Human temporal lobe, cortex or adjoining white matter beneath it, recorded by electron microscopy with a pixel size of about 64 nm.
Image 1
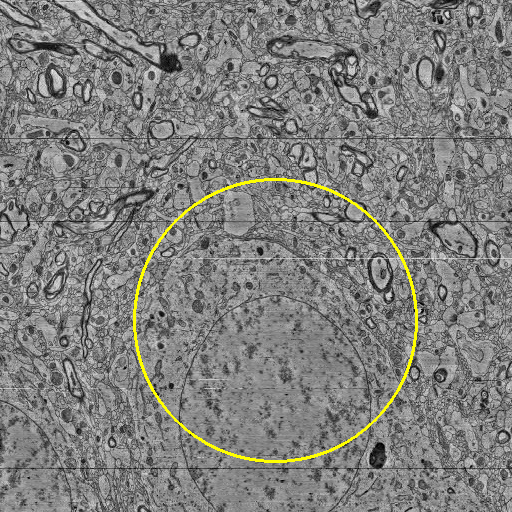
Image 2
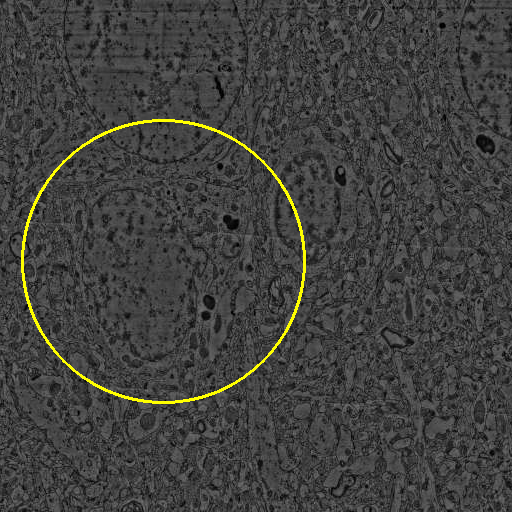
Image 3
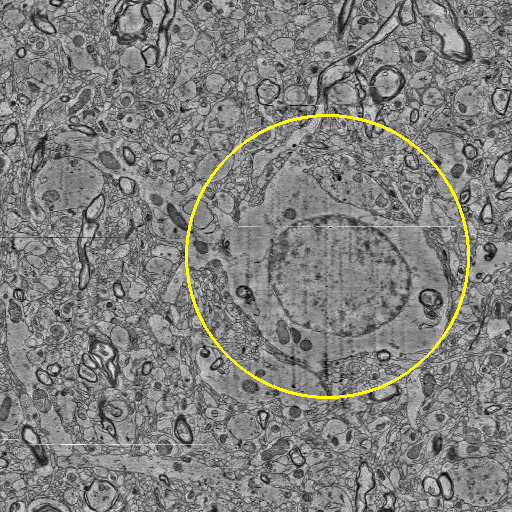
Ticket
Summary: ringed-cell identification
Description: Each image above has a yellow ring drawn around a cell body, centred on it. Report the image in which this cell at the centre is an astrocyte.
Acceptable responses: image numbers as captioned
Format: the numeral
3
